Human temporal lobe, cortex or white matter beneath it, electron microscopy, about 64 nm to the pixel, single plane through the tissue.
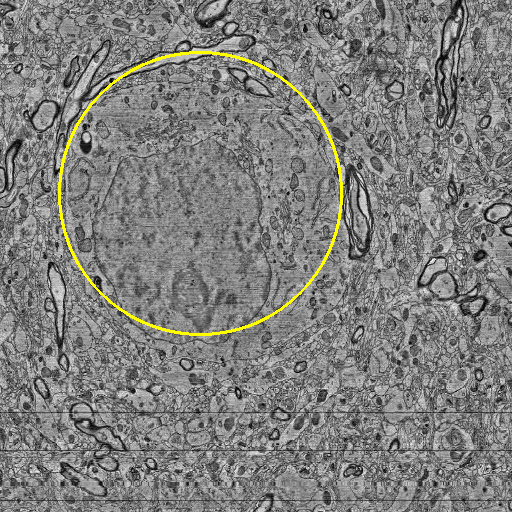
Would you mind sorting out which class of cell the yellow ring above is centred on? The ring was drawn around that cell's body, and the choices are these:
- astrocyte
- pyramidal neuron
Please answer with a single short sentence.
This is the cell body of a pyramidal neuron.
